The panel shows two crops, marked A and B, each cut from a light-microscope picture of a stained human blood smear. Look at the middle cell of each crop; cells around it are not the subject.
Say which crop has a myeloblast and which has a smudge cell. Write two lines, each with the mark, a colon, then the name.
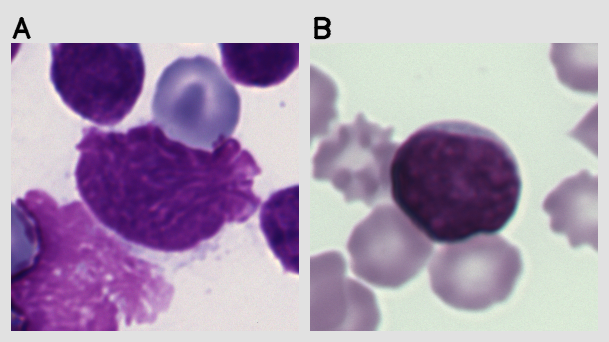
A: smudge cell
B: myeloblast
